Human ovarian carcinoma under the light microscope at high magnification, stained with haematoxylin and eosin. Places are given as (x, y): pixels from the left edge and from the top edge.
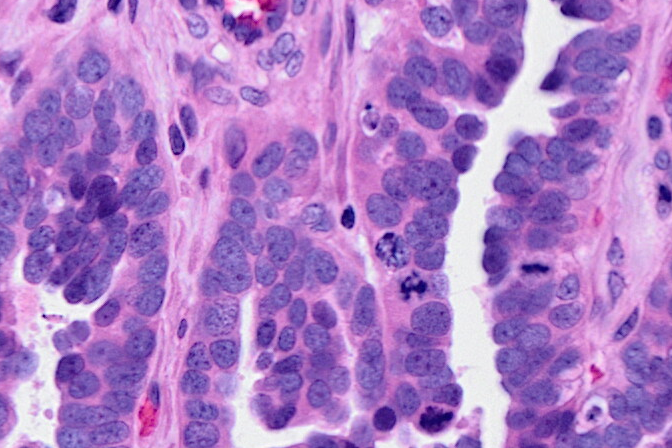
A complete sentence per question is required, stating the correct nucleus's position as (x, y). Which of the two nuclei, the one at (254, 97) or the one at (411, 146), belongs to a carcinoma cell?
The nucleus at (411, 146), rather than the other one, belongs to a carcinoma cell.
